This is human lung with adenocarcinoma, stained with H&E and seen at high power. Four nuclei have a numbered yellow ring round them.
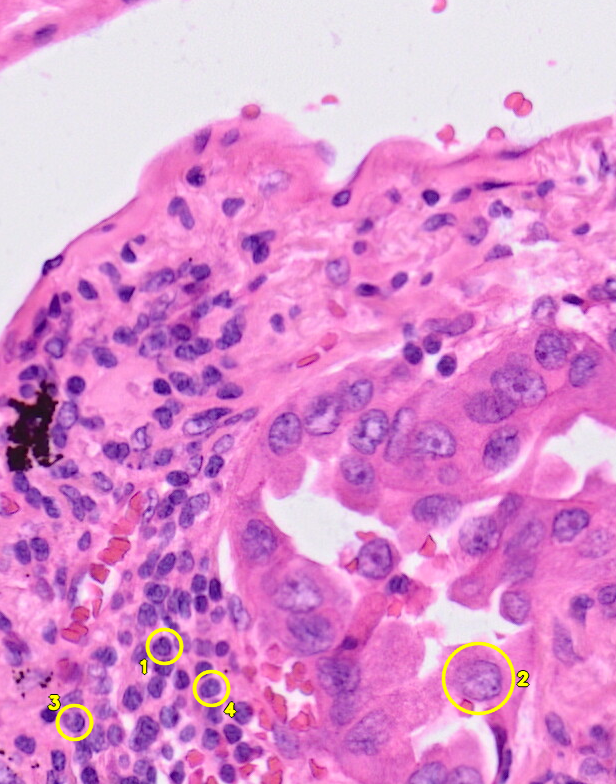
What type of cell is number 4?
lymphocyte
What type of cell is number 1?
lymphocyte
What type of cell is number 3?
lymphocyte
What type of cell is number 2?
carcinoma cell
